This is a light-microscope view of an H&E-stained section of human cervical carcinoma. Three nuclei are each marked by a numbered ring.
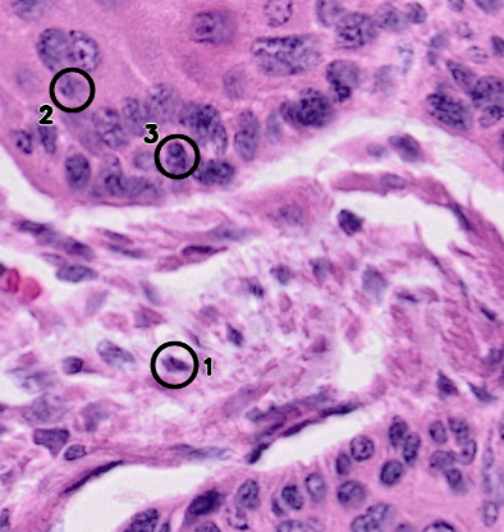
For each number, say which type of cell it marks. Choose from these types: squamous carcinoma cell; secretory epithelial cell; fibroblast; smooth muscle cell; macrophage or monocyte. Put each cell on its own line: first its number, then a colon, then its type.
1: fibroblast
2: squamous carcinoma cell
3: squamous carcinoma cell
